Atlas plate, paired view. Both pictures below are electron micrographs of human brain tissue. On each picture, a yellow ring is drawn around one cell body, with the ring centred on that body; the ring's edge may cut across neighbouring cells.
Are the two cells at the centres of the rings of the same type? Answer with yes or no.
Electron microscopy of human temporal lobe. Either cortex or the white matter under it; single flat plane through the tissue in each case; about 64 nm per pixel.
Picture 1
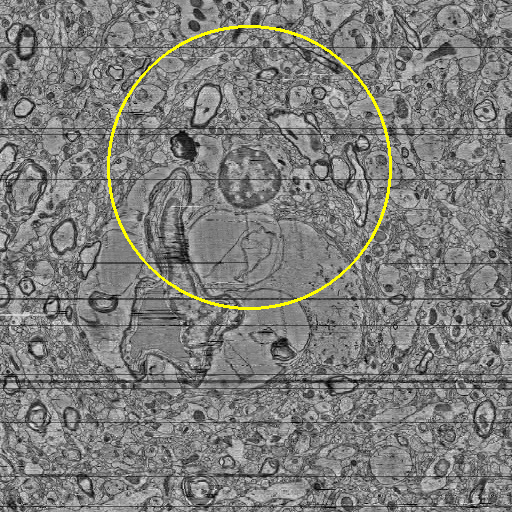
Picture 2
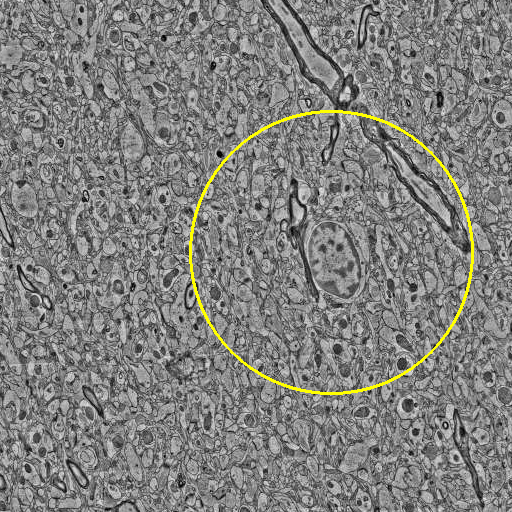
yes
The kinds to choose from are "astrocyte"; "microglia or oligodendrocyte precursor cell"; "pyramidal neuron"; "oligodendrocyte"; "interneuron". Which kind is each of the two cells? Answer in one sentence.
Both pictures show a microglial cell or oligodendrocyte precursor cell at the centre of the ring.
